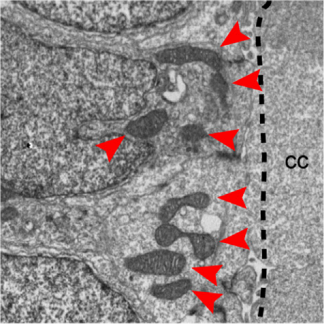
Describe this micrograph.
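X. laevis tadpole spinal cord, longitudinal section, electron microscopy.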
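An electron micrograph shows cells bordering the central canal, with a large nucleus with finely granular chromatin on the left and the lumen edge on the right. Several elongated, dark, membrane-bound mitochondria with internal cristae cluster in the cytoplasm between the nucleus and the canal border.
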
